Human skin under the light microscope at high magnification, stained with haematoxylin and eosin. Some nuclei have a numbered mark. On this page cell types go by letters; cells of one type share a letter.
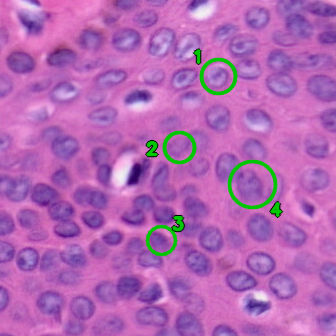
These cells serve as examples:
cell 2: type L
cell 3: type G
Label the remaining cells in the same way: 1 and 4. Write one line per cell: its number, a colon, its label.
1: type L
4: type L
